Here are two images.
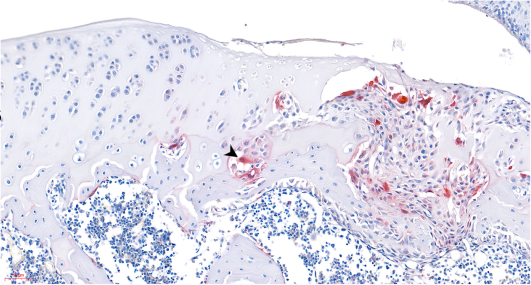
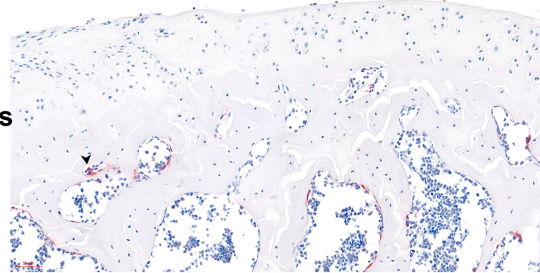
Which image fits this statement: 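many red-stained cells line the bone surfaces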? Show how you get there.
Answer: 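Second image: only a few small red-stained cells at the edges of marrow spaces. First image: numerous red-stained cells clustered along bone surfaces and in a disrupted region beneath the cartilage.
The first image.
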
